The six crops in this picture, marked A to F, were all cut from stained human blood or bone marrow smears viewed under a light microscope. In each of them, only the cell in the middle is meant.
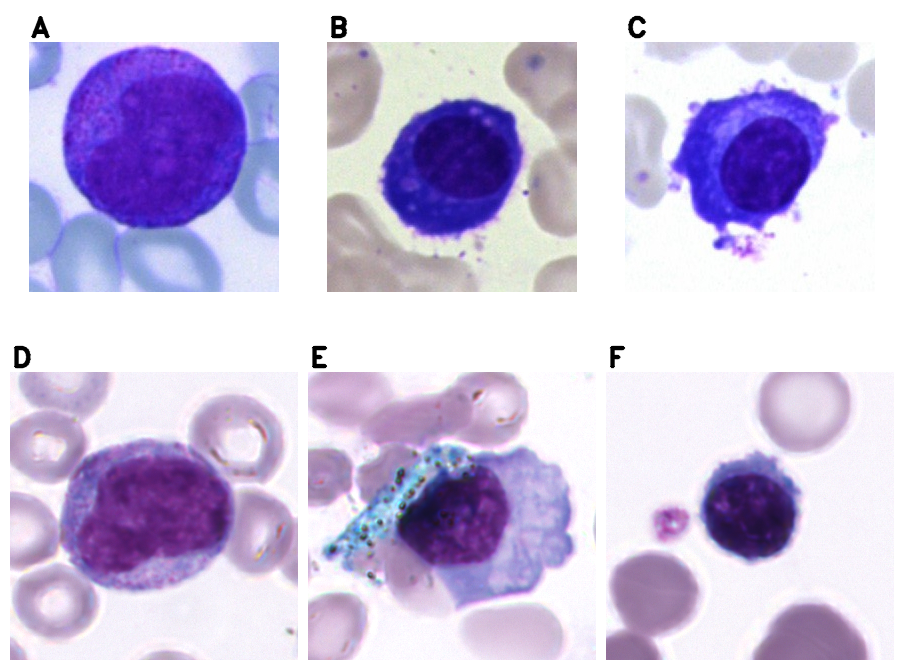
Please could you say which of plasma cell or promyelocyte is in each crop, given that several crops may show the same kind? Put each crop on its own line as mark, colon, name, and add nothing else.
A: promyelocyte
B: plasma cell
C: plasma cell
D: promyelocyte
E: plasma cell
F: plasma cell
